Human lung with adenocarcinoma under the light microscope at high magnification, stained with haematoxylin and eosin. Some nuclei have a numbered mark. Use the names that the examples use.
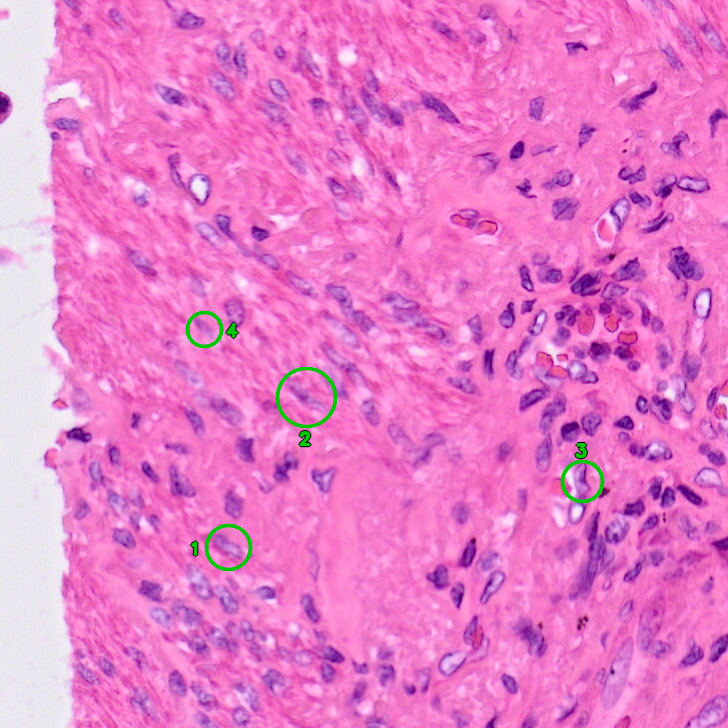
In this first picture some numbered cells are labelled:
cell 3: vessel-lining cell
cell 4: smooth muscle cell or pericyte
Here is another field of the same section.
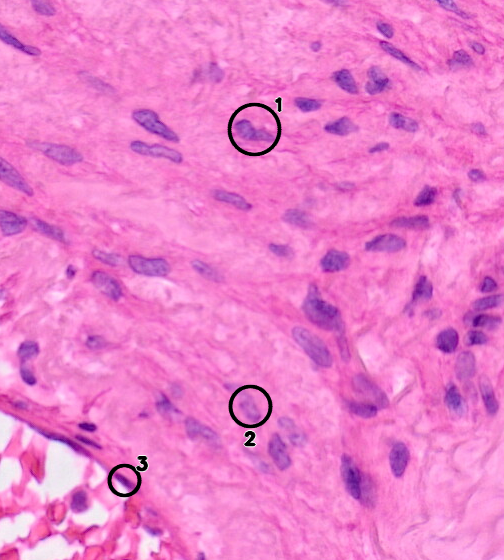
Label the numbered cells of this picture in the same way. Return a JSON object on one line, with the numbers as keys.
{"1": "smooth muscle cell or pericyte", "2": "smooth muscle cell or pericyte", "3": "vessel-lining cell"}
